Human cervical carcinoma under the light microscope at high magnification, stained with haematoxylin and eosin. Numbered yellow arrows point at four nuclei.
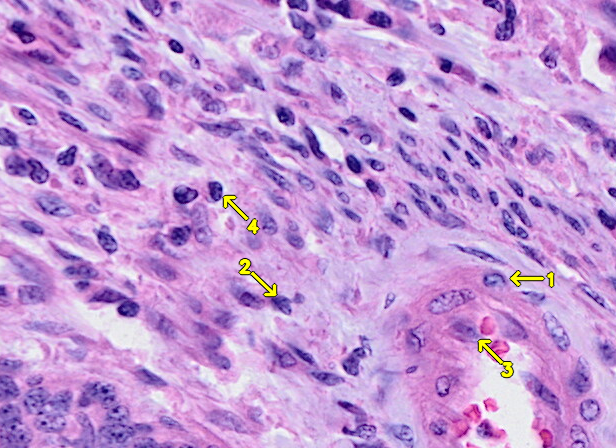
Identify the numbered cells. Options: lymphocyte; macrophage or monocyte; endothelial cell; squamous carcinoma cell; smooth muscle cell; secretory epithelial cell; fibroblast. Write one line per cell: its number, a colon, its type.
1: smooth muscle cell
2: lymphocyte
3: endothelial cell
4: lymphocyte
